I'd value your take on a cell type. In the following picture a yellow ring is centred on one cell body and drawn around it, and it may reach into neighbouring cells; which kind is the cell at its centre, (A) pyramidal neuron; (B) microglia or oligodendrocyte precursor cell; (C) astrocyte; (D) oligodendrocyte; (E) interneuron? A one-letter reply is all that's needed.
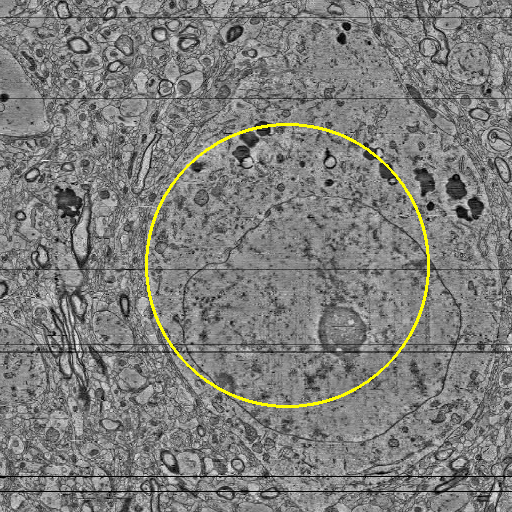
A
